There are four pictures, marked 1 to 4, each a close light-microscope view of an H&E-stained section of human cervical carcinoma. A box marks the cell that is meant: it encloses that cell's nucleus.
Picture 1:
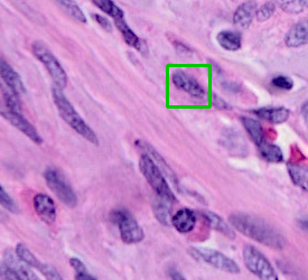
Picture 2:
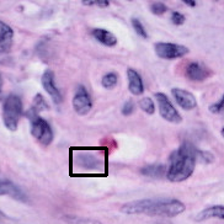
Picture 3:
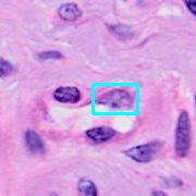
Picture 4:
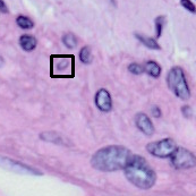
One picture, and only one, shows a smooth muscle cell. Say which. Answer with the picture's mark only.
4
